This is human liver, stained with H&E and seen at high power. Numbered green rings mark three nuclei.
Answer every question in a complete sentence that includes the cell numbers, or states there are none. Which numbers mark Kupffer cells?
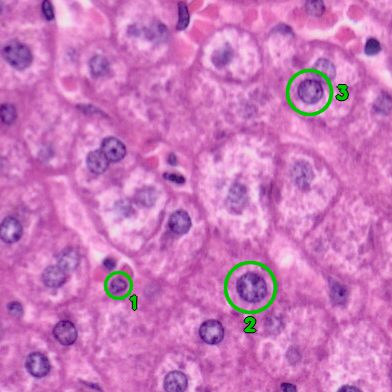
Cell 1 represents a Kupffer cell, and no other numbered cell does.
